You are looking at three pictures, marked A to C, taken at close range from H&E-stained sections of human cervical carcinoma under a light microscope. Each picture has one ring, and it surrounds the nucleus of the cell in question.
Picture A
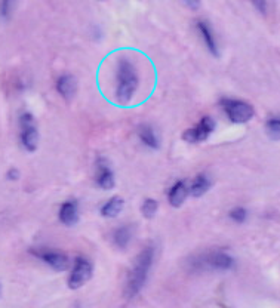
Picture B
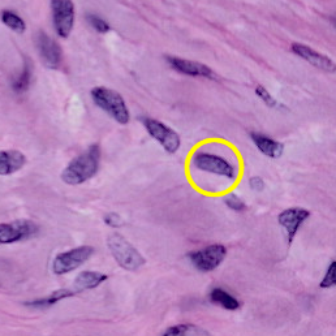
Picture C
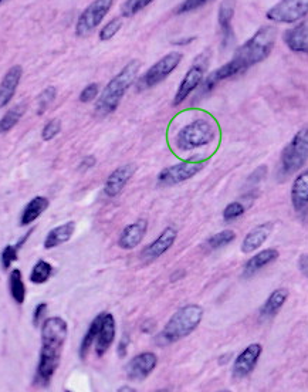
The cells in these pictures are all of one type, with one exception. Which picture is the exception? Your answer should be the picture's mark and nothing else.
C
